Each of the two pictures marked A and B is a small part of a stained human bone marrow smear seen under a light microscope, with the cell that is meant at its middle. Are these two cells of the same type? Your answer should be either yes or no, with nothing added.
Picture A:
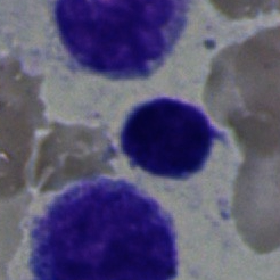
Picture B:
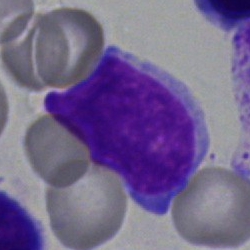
no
